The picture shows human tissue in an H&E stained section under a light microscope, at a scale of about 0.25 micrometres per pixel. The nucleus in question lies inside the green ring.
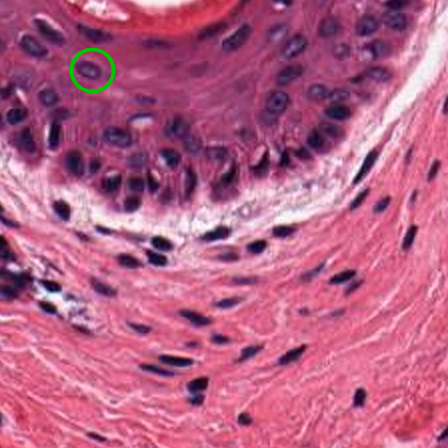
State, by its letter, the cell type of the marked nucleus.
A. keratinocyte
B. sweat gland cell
A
